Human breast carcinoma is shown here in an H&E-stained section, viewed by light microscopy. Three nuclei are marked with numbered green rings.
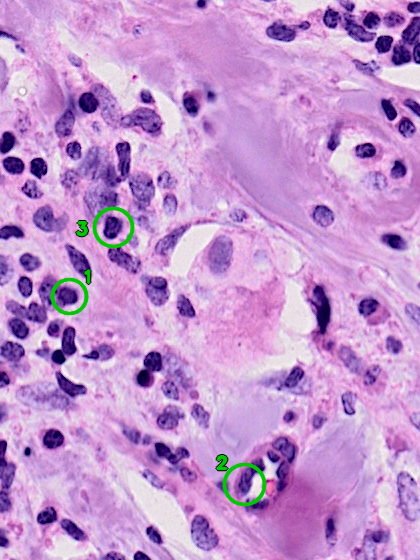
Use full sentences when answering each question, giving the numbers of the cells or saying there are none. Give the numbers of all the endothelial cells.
Among the numbered cells, the one that is an endothelial cell is cell 2 alone.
